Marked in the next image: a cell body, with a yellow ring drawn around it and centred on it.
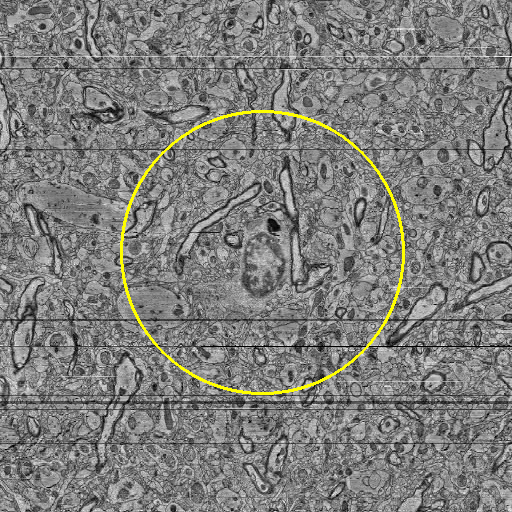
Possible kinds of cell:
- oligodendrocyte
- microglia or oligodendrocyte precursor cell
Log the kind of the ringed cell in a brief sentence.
The ringed cell body is that of an oligodendrocyte.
